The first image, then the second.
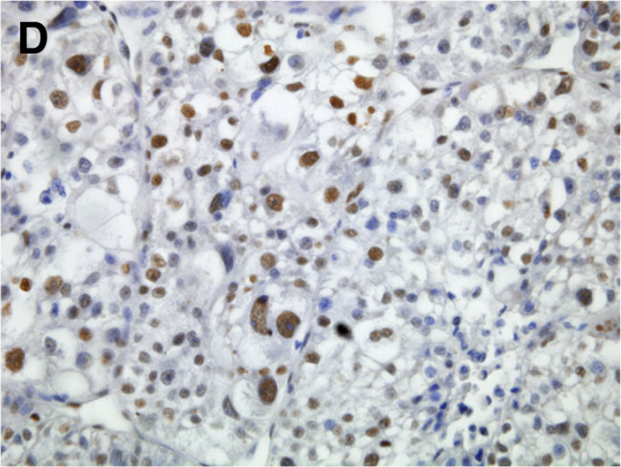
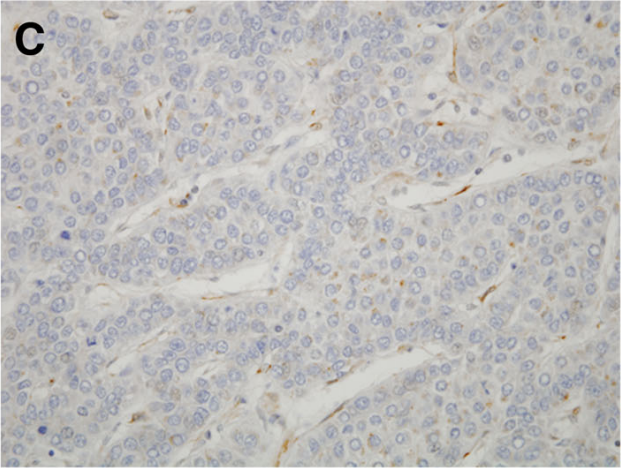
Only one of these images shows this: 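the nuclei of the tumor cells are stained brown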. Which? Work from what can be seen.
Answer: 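Second image: the tumour cell nuclei are blue, and brown appears only in thin cells along the vessels. First image: many tumour cell nuclei, including large irregular ones, are brown. On this evidence: the first image.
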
